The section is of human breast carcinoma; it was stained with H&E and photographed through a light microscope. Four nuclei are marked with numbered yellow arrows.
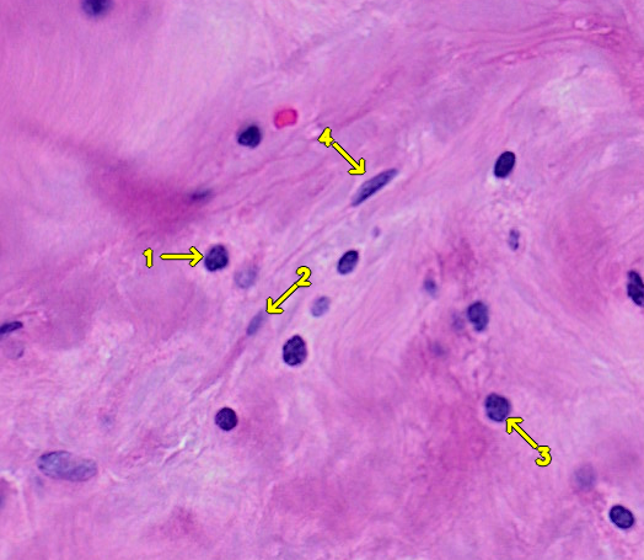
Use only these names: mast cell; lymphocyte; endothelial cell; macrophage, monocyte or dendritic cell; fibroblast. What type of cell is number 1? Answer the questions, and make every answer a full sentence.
Here, the cell given the number 1 is a lymphocyte.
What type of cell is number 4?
Cell 4 in the field of view is a fibroblast.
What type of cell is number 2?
Here, the cell given the number 2 is a fibroblast.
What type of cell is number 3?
The cell numbered 3 has been identified as a lymphocyte.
